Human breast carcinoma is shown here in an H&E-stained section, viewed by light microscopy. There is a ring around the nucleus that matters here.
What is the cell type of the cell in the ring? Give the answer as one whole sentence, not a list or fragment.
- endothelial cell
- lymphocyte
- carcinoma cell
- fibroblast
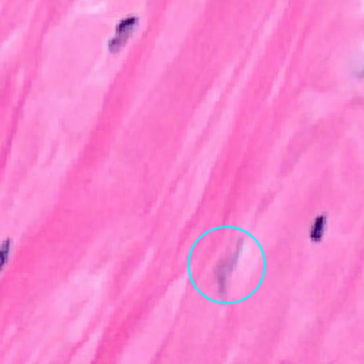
At the level of cell identity, the cell in the ring is a fibroblast.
